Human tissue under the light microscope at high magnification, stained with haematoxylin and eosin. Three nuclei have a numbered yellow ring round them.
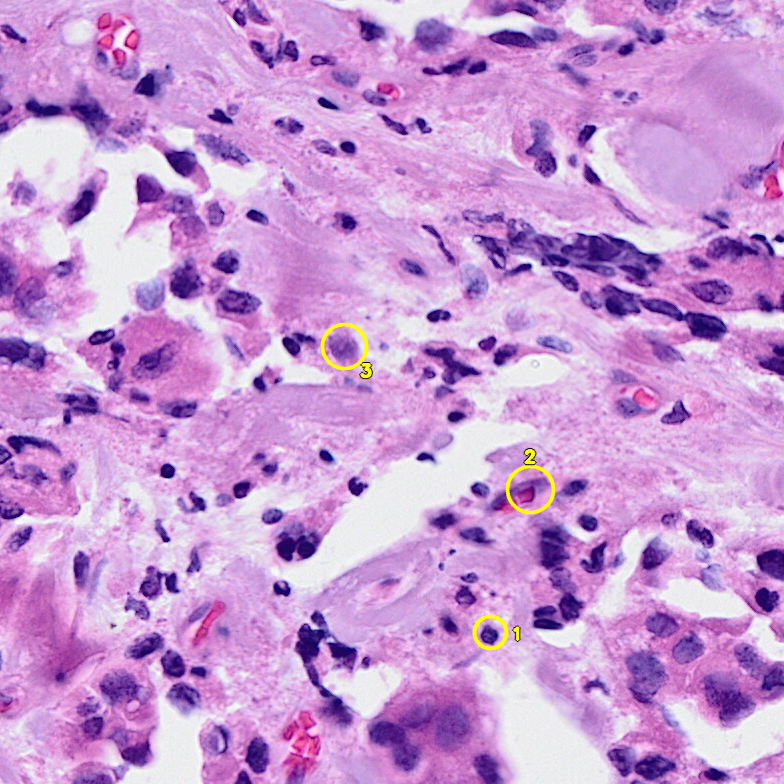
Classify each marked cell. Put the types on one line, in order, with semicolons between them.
lymphocyte; endothelial cell; fibroblast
